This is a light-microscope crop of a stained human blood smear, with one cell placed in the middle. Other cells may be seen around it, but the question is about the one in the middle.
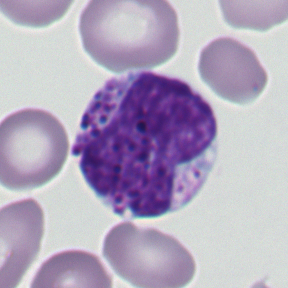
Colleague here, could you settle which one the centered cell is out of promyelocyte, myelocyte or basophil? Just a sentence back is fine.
Centrally within this crop lies a basophil.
